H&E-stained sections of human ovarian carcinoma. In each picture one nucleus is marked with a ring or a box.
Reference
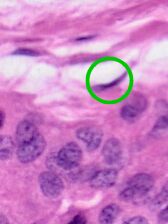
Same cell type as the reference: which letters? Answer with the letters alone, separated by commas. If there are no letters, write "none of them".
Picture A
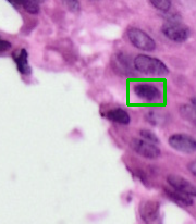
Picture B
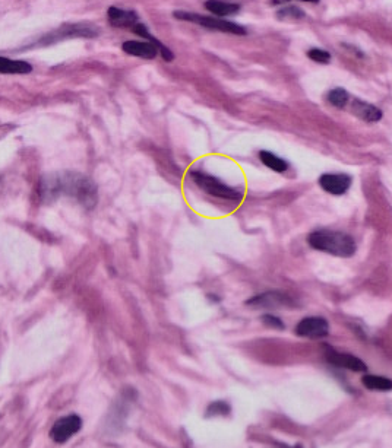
B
